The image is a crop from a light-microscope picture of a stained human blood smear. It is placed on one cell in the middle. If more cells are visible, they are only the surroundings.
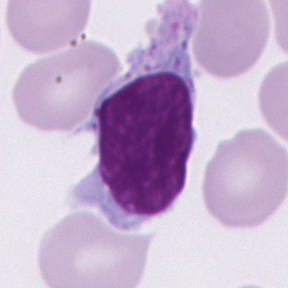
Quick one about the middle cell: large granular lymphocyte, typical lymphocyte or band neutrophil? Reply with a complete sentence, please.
In the middle of this smear crop is a large granular lymphocyte.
